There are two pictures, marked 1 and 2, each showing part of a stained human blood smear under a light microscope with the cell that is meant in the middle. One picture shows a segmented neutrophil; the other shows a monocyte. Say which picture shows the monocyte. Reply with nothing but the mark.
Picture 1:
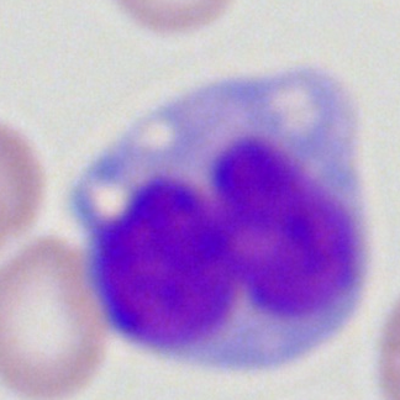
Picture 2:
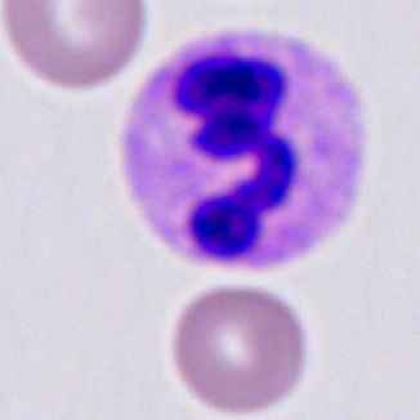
1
